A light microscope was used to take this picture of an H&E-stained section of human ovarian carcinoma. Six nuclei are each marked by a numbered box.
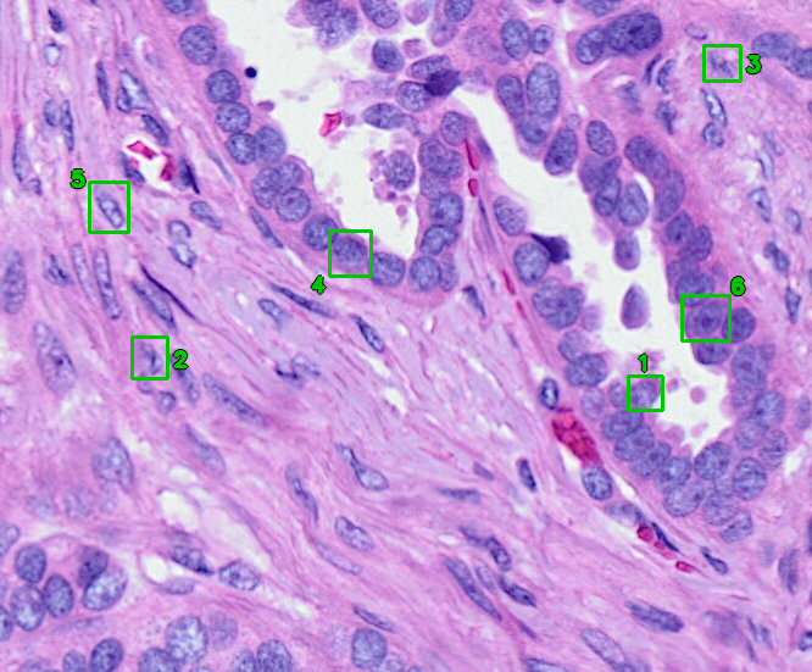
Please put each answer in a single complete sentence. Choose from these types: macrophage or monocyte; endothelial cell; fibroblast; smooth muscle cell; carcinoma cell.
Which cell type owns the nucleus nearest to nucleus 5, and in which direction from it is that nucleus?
The closest nucleus belongs to an endothelial cell and sits above and to the right of nucleus 5.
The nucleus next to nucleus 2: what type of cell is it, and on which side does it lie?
Lying below nucleus 2, the nearest nucleus is that of a fibroblast.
